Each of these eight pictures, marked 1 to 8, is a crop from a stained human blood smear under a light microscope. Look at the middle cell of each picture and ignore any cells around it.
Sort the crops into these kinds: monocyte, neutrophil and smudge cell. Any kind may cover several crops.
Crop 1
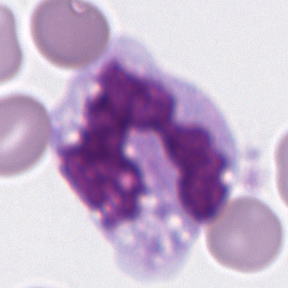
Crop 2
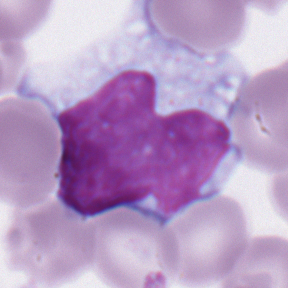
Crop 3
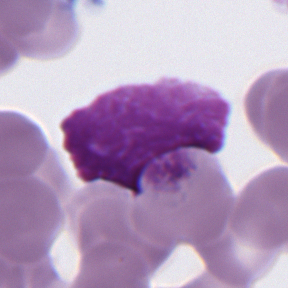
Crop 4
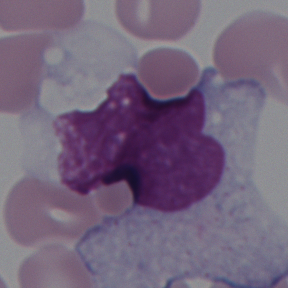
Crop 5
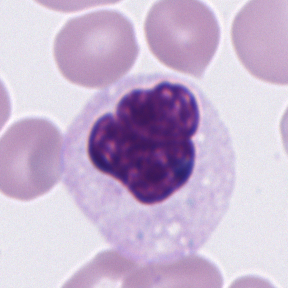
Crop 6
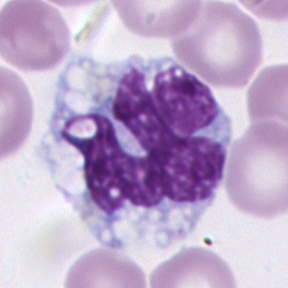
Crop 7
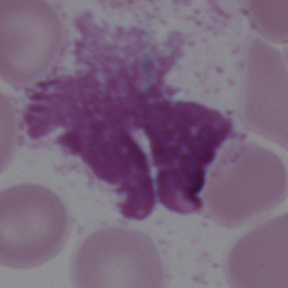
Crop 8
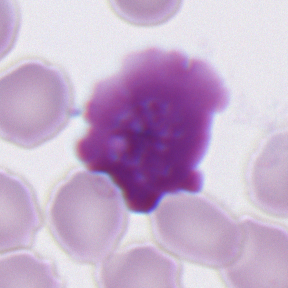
1: monocyte
2: monocyte
3: smudge cell
4: monocyte
5: neutrophil
6: monocyte
7: smudge cell
8: smudge cell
